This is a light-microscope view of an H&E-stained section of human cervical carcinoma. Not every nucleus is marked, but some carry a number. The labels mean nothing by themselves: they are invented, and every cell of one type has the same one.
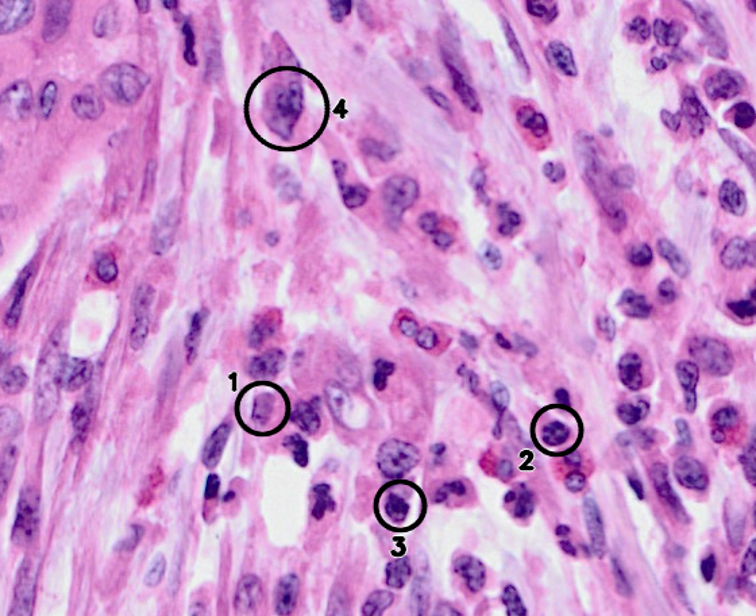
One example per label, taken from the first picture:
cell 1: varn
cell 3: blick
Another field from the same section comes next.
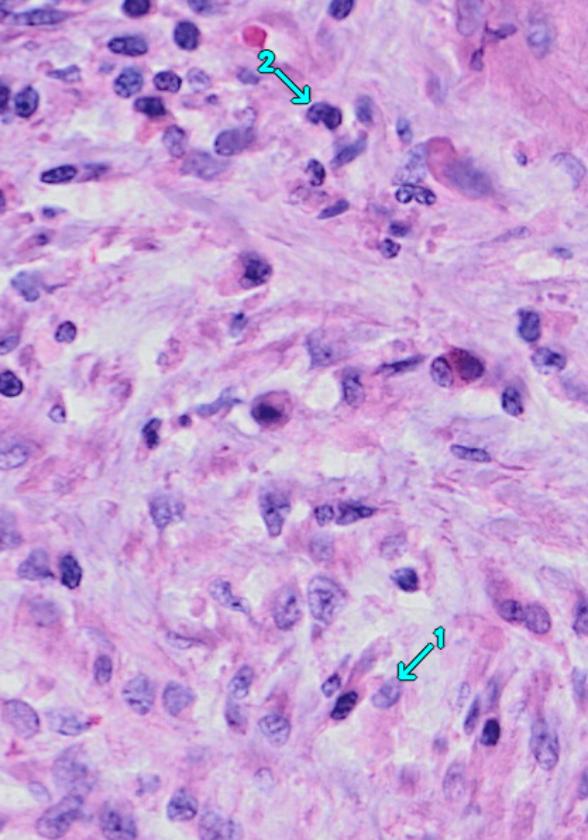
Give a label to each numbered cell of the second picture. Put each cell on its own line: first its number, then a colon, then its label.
1: varn
2: blick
